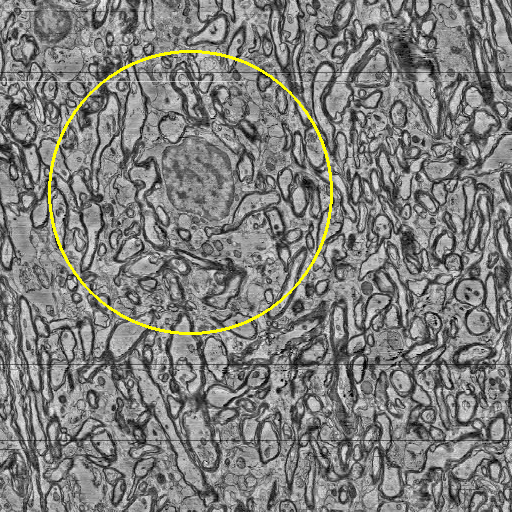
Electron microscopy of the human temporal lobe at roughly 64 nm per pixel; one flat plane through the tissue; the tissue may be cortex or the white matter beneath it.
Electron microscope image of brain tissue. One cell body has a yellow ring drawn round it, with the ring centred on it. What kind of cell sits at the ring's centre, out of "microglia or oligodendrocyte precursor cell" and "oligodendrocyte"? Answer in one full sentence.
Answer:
It is an oligodendrocyte whose cell body sits at the centre of the yellow ring.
